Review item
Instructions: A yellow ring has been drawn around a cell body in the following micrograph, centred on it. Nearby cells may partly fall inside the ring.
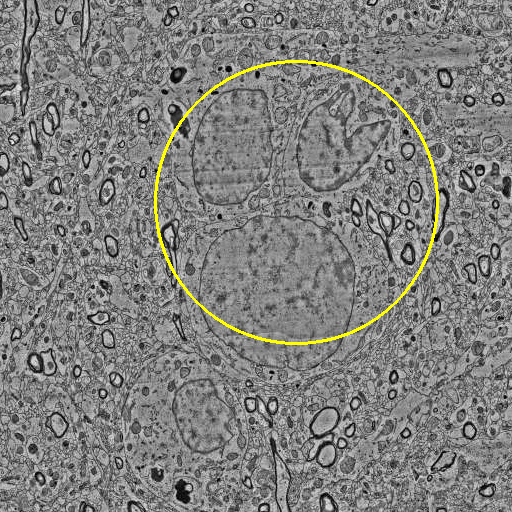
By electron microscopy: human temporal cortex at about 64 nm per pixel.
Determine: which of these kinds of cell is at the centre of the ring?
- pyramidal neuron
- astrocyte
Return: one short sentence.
The cell body in the middle of the ring is that of a pyramidal neuron.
